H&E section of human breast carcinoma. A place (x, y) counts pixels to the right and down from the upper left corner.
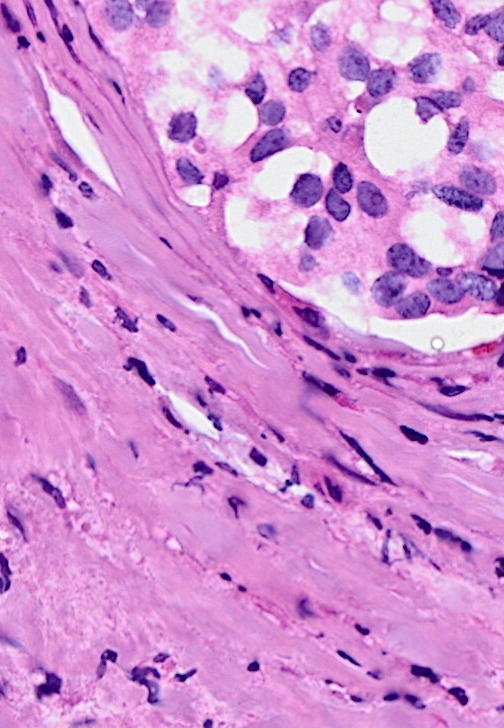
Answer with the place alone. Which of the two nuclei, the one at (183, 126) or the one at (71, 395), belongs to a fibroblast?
(71, 395)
